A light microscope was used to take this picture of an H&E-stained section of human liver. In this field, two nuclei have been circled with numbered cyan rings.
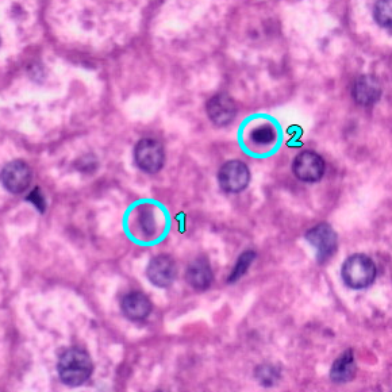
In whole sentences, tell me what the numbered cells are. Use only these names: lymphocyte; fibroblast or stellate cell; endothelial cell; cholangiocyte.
Cell 1 is an endothelial cell and cell 2 is a lymphocyte.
